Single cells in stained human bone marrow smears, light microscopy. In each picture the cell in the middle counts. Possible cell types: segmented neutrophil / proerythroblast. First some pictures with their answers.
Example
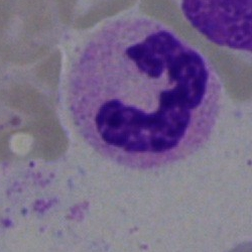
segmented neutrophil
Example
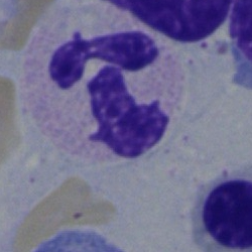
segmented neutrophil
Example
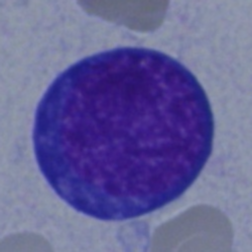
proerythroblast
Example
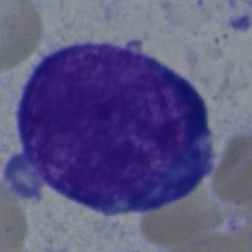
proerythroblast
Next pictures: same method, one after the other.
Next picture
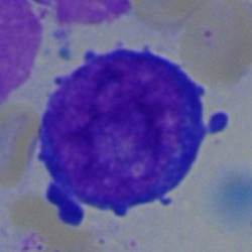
proerythroblast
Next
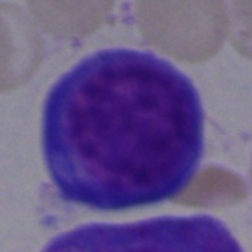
proerythroblast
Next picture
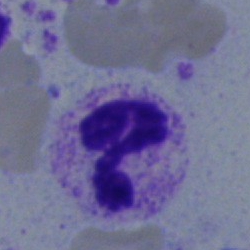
segmented neutrophil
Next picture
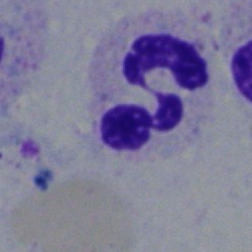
segmented neutrophil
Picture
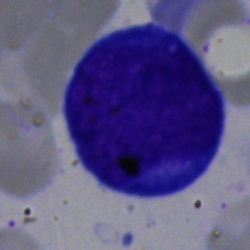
proerythroblast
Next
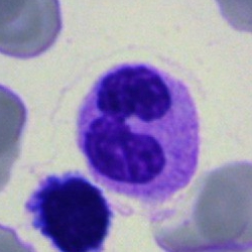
segmented neutrophil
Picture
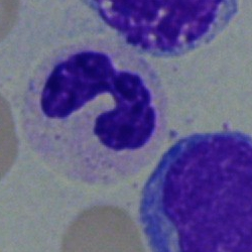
segmented neutrophil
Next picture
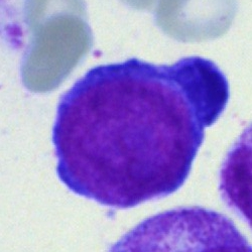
proerythroblast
